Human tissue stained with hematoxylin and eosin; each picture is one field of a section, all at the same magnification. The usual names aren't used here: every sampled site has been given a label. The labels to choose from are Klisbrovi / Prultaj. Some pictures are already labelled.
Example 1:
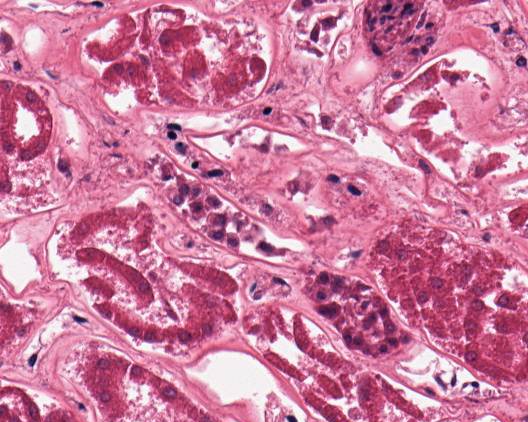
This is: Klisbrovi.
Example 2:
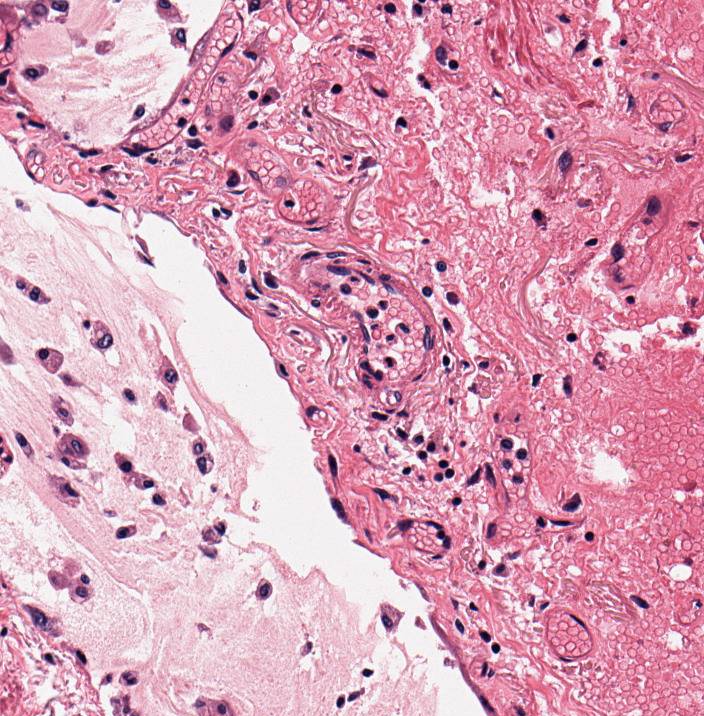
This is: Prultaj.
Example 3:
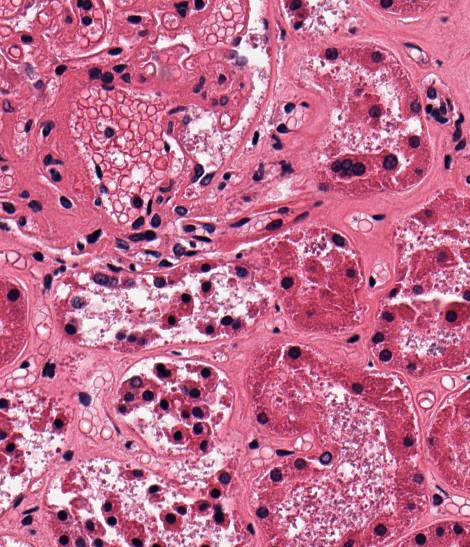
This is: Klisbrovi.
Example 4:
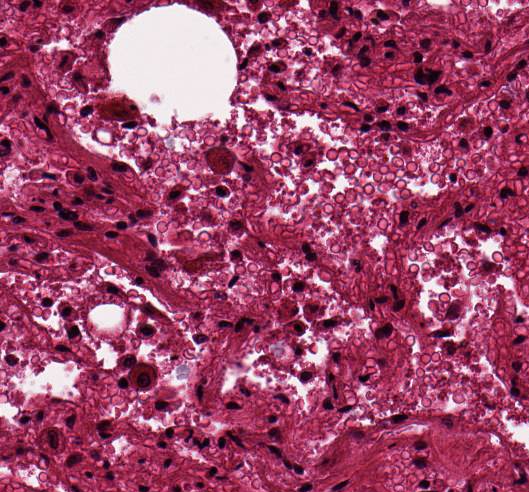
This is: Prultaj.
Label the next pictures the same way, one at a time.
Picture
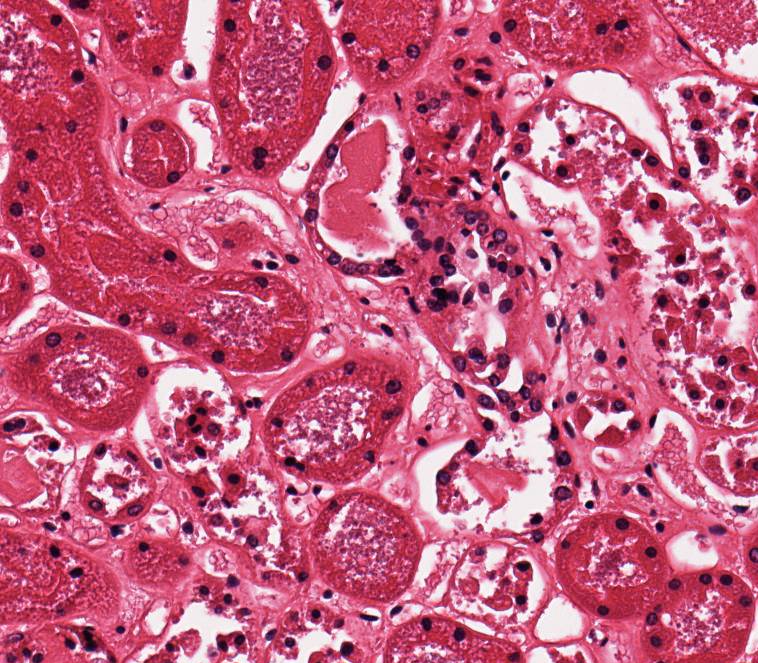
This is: Klisbrovi.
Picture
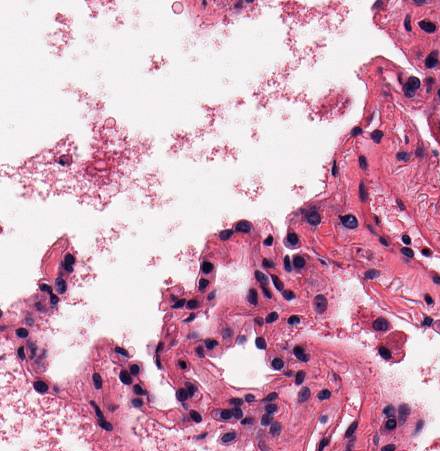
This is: Prultaj.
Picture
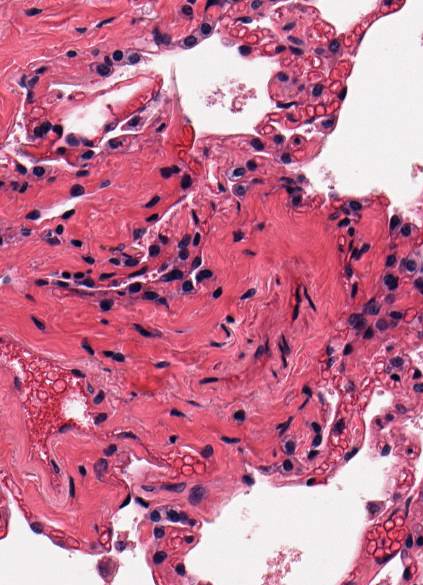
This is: Prultaj.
